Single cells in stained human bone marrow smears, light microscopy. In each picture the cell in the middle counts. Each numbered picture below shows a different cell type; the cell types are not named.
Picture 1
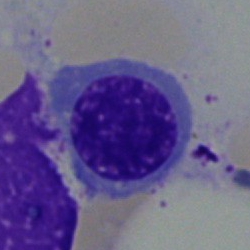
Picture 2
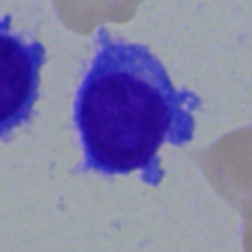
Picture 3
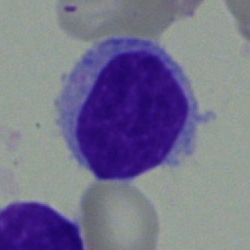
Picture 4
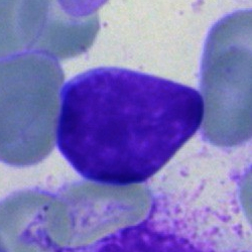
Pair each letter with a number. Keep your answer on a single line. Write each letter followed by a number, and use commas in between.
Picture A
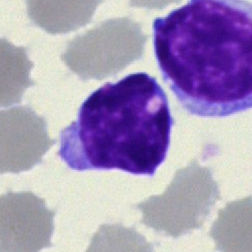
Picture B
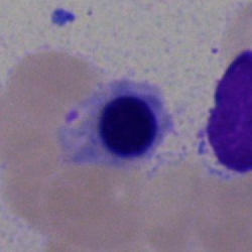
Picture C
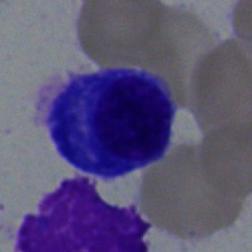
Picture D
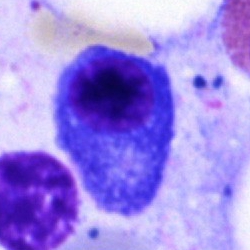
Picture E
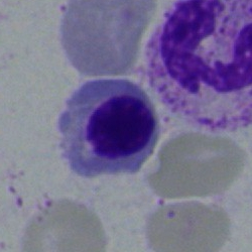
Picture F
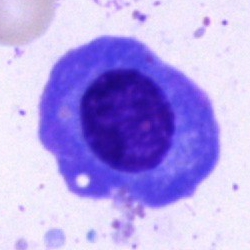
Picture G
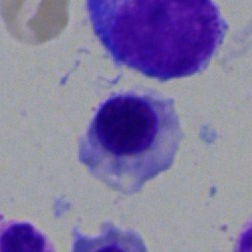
A 3, B 1, C 2, D 2, E 1, F 2, G 1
